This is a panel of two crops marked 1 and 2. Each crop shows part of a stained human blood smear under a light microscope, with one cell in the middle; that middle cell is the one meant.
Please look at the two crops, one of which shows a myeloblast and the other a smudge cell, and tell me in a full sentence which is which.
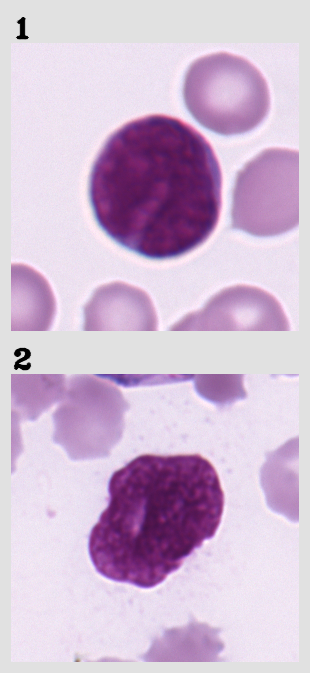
Crop 2 is a smudge cell, while crop 1 is a myeloblast.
